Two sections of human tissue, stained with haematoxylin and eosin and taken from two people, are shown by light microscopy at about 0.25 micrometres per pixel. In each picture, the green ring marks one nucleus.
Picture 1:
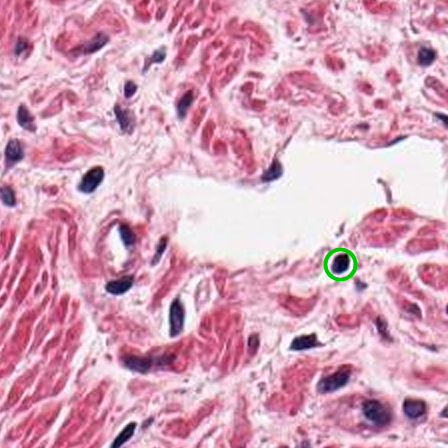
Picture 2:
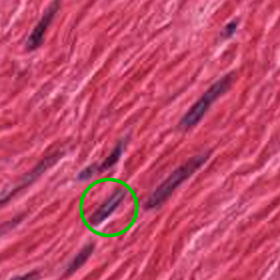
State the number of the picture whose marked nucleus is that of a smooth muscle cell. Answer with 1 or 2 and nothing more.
2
